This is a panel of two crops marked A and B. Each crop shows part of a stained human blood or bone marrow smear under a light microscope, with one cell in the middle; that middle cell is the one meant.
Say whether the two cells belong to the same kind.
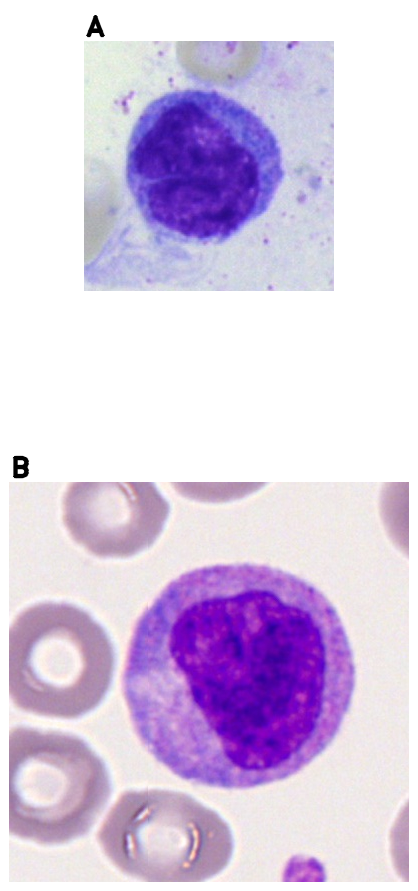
yes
